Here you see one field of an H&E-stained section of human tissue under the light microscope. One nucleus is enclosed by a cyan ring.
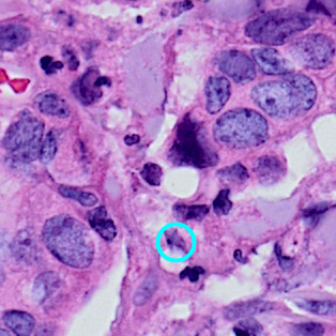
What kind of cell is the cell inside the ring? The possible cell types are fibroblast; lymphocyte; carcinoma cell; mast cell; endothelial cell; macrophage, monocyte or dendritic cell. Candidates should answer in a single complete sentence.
What the cell inside the ring represents is a macrophage, monocyte or dendritic cell.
